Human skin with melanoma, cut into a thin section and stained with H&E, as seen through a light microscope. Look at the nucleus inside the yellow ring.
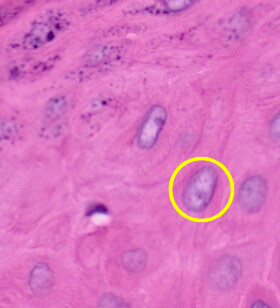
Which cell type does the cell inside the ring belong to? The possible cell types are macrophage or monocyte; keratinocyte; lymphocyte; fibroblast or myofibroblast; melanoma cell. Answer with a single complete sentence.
This is a keratinocyte.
